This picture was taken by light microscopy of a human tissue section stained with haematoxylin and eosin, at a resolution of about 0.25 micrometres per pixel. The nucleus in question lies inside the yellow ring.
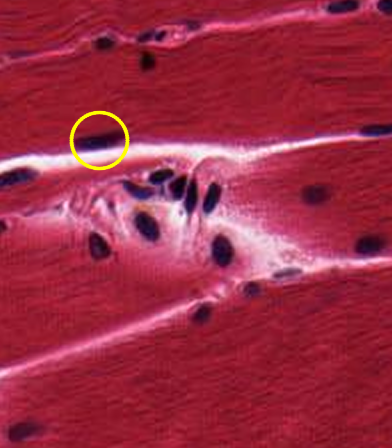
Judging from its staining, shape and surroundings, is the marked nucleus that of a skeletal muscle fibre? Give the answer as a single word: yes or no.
yes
